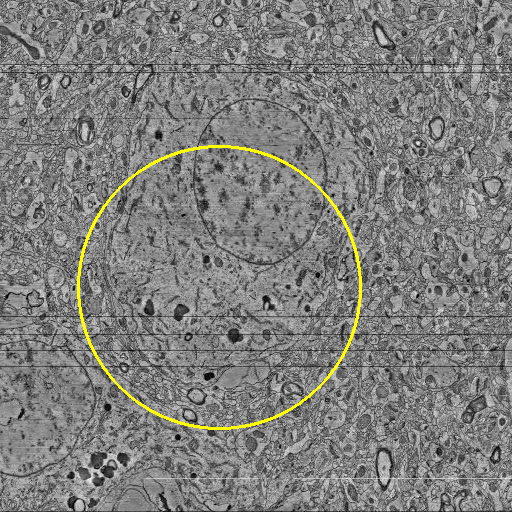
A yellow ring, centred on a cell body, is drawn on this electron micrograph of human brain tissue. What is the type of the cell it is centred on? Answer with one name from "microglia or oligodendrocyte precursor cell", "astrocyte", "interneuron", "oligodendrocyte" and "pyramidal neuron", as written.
pyramidal neuron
